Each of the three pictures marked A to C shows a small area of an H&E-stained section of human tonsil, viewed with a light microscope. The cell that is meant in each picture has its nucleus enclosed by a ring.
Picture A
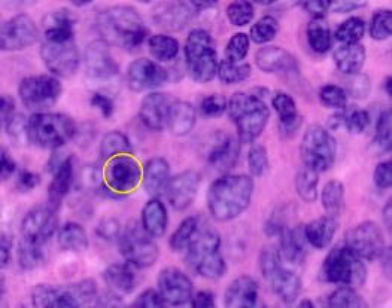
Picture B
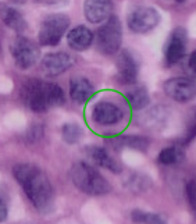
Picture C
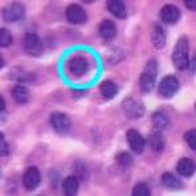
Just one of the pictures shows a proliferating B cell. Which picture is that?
A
